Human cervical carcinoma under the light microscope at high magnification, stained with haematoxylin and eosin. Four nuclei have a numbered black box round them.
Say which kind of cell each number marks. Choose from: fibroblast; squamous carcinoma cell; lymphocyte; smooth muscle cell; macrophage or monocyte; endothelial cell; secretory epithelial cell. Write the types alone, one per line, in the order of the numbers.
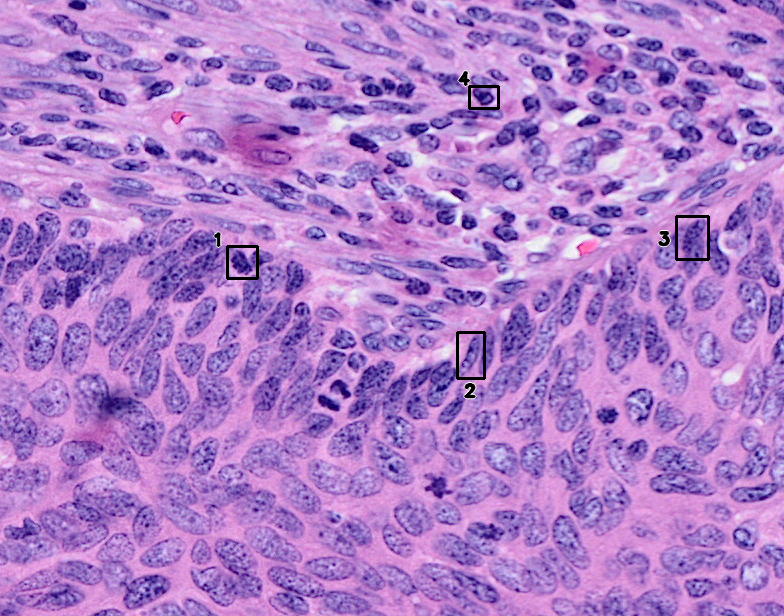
squamous carcinoma cell
squamous carcinoma cell
squamous carcinoma cell
lymphocyte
